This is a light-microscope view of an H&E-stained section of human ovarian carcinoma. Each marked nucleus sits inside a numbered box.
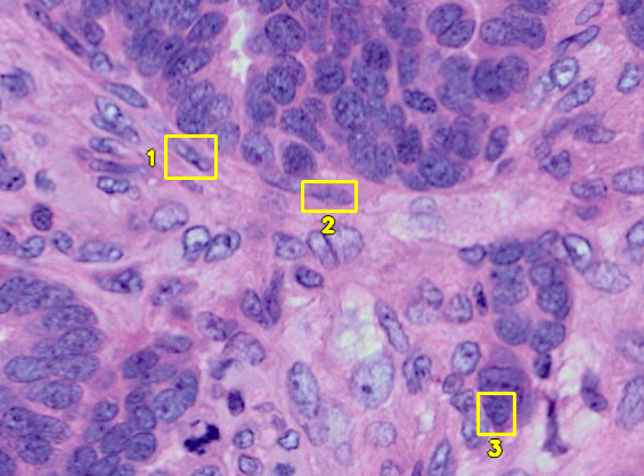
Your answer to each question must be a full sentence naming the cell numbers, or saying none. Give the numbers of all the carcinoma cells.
Of the cells bearing numbers, the only one that is a carcinoma cell is cell 3.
